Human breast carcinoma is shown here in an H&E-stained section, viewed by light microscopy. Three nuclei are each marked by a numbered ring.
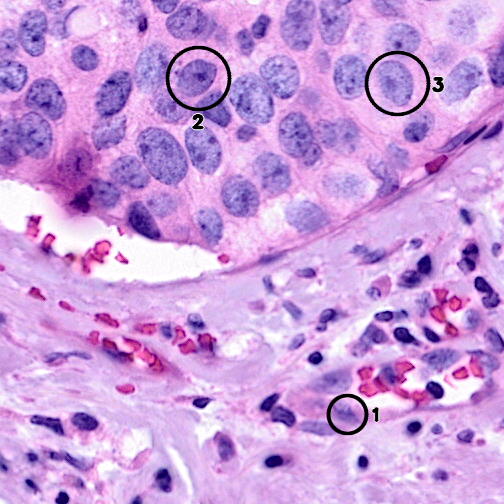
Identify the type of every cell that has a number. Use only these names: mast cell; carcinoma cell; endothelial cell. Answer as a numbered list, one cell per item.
1. endothelial cell
2. carcinoma cell
3. carcinoma cell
